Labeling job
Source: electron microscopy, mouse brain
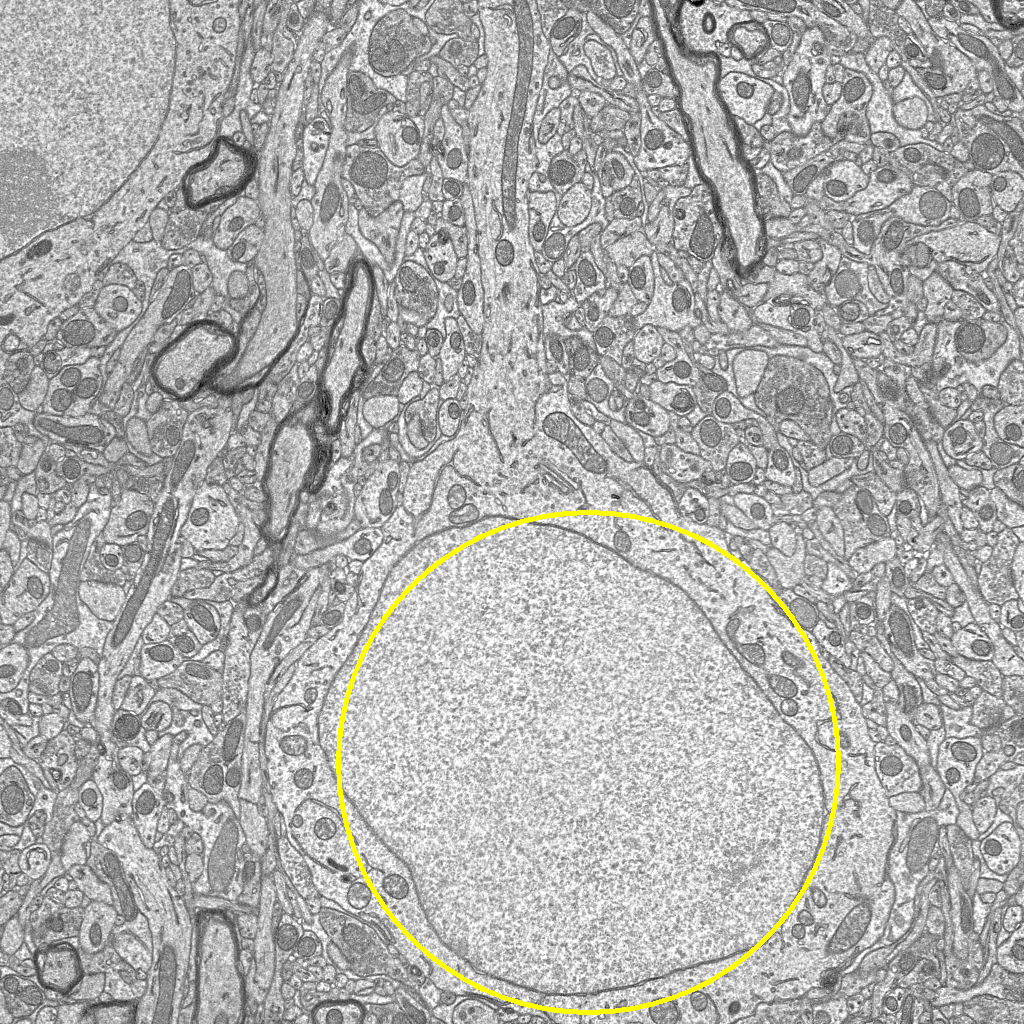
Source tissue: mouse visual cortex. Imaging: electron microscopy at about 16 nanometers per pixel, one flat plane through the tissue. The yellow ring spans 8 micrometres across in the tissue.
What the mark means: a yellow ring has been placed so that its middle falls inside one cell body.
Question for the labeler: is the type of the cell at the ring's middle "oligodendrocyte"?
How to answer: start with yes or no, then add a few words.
No, its type is another one.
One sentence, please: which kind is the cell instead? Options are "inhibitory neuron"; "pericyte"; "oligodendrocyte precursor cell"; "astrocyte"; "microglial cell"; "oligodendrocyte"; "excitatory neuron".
Instead, the cell inside the ring is an excitatory neuron.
